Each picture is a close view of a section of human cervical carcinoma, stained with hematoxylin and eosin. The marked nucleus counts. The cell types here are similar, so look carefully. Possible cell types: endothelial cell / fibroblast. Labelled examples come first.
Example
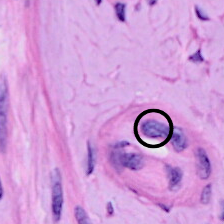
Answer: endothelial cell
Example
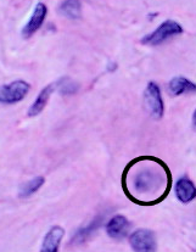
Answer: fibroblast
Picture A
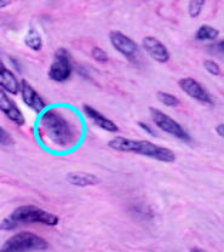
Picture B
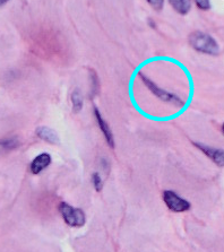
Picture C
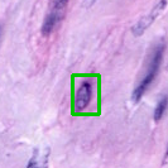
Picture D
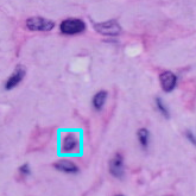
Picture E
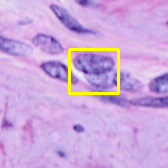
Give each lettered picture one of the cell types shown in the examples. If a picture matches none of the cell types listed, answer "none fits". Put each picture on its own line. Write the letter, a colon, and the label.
A: endothelial cell
B: fibroblast
C: none fits
D: none fits
E: endothelial cell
